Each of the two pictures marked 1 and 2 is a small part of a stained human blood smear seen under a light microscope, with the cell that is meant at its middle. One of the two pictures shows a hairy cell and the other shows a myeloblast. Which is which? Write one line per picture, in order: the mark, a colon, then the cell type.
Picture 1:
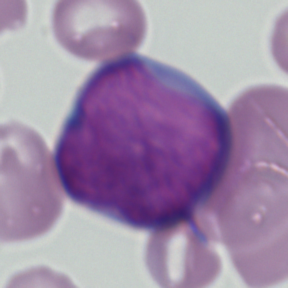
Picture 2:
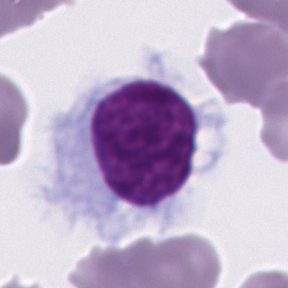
1: myeloblast
2: hairy cell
